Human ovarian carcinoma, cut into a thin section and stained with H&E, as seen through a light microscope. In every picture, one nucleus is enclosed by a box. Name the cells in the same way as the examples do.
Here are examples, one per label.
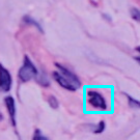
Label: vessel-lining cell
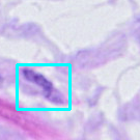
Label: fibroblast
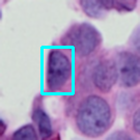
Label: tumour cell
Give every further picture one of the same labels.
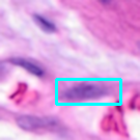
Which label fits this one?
vessel-lining cell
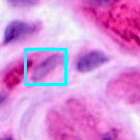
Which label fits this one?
vessel-lining cell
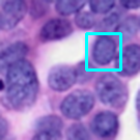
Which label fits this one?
tumour cell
